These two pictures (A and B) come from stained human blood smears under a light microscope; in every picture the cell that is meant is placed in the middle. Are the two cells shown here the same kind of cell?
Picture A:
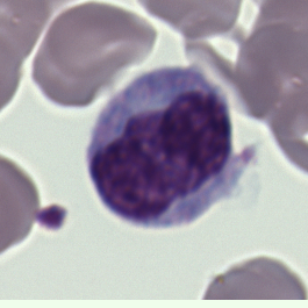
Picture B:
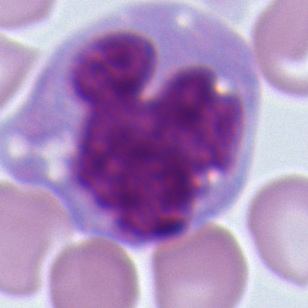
yes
